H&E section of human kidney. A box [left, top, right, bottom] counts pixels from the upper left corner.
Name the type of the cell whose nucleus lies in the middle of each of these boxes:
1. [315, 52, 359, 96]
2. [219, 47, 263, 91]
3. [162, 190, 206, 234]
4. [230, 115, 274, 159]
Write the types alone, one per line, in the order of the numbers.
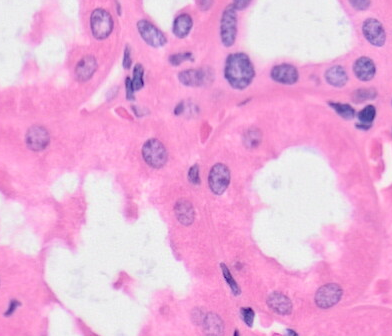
collecting duct cell
collecting duct cell
proximal tubule cell
proximal tubule cell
